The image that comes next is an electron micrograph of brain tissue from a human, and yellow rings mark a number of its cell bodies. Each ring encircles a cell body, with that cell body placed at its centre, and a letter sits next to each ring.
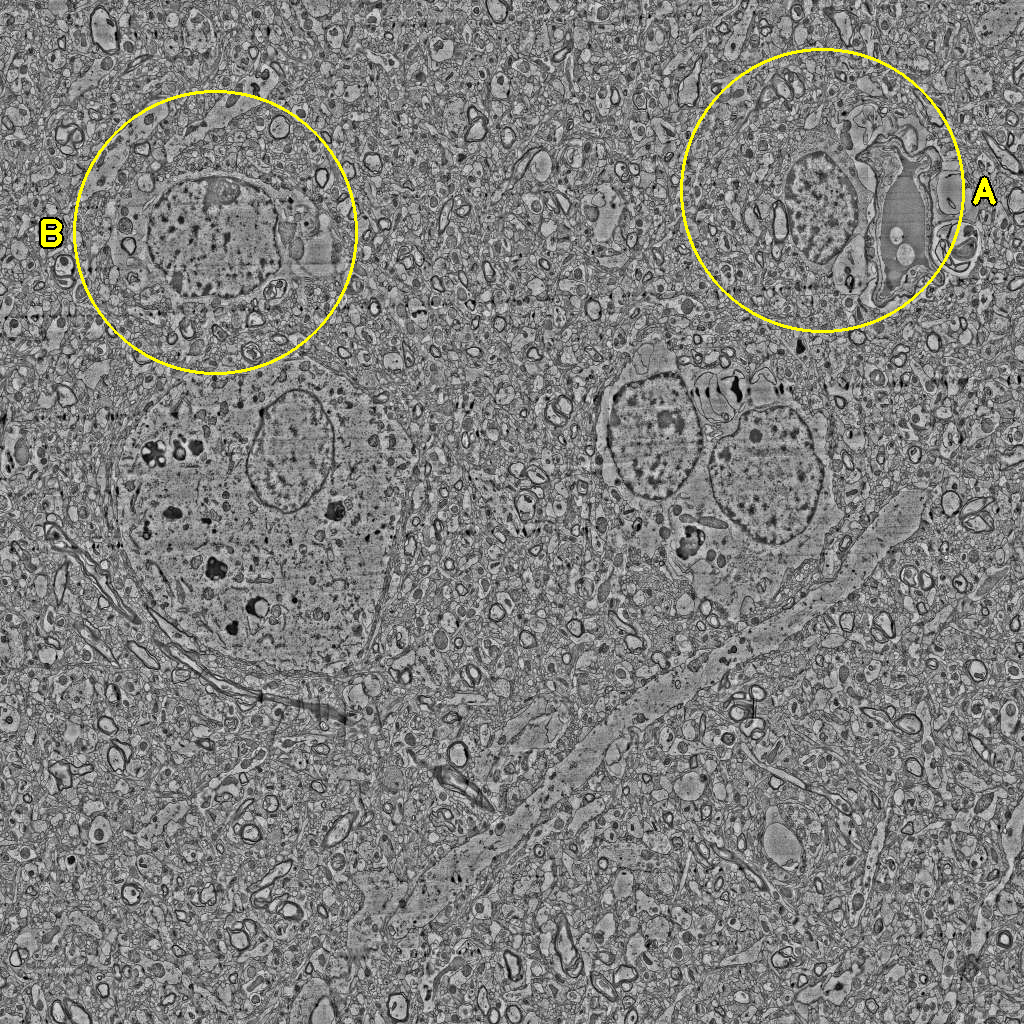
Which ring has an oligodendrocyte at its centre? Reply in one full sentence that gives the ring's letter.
In the image, ring A has the cell the question asks for at its centre.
